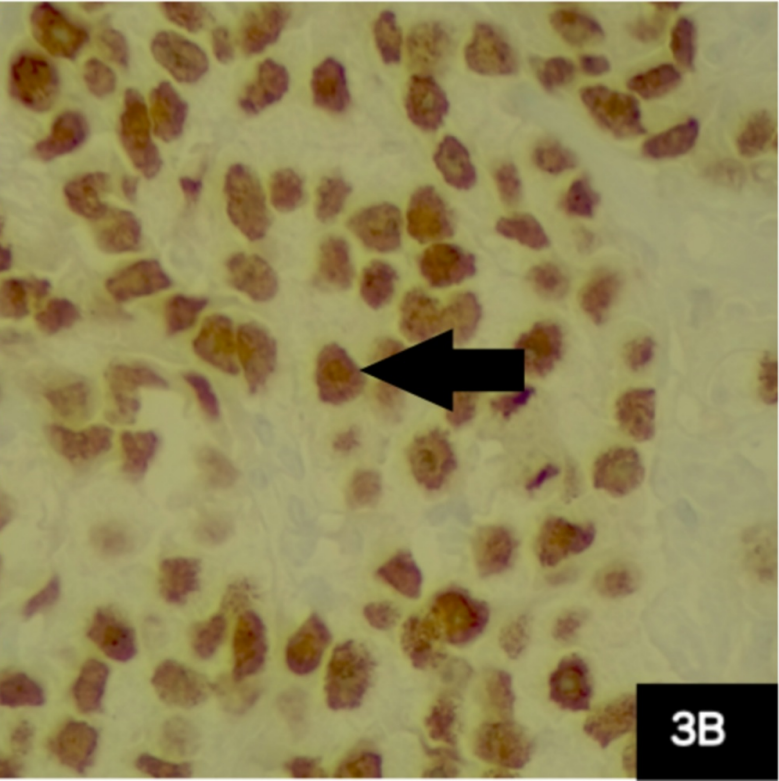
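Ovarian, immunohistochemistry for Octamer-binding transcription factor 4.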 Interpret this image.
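The field shows crowded tumour germ cells whose nuclei are almost all stained brown, set against a pale, unstained background. The brown stain fills round to oval nuclei with a granular texture, while the cytoplasm around them stays pale.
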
